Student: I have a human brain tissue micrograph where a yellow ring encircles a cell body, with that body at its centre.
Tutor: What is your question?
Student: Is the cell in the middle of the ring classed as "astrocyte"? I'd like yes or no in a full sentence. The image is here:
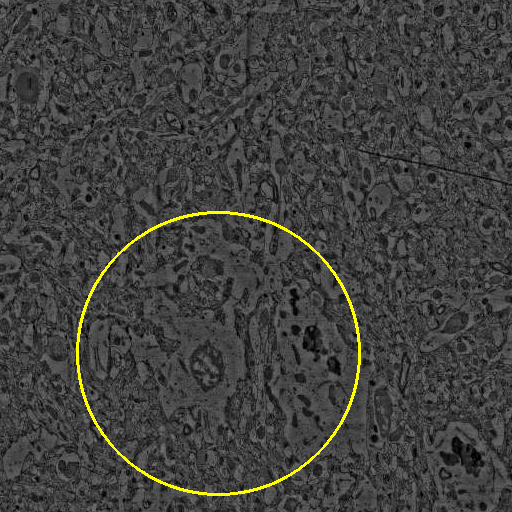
Yes, the cell in the middle of the ring is classed as that kind.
